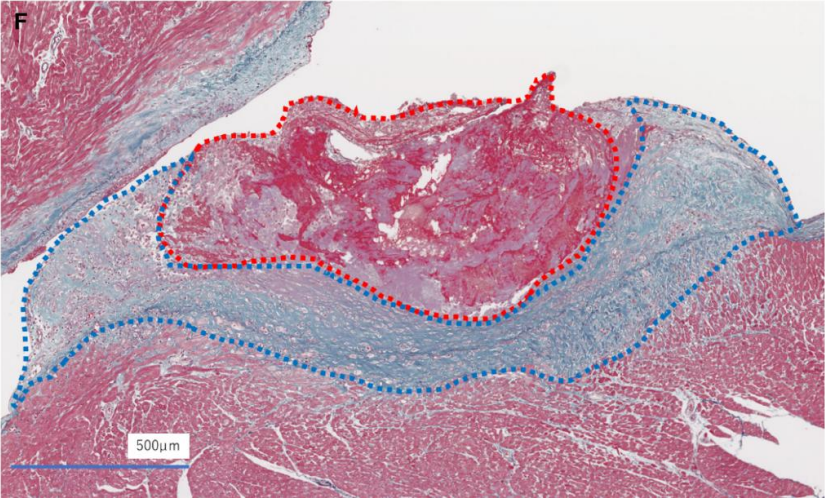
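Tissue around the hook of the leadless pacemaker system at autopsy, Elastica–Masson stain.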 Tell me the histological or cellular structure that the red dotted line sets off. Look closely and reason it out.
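An irregular mass of amorphous red-pink material with clefts lies inside the outline. The mass sits at the surface, bulging into the open space above. The outlined material lacks the orderly fibre pattern of the surrounding muscle.
Hence: the thrombus.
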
